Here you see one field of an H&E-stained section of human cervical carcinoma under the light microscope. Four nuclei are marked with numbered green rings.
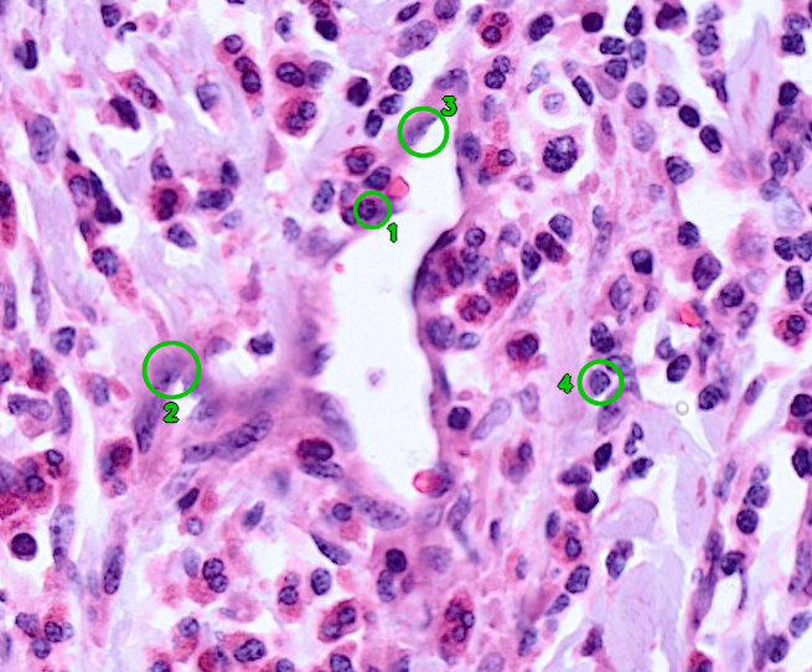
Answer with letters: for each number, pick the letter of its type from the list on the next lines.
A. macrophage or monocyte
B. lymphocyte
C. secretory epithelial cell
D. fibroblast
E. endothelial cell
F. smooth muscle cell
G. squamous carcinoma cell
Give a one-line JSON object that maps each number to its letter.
{"1": "E", "2": "E", "3": "E", "4": "B"}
